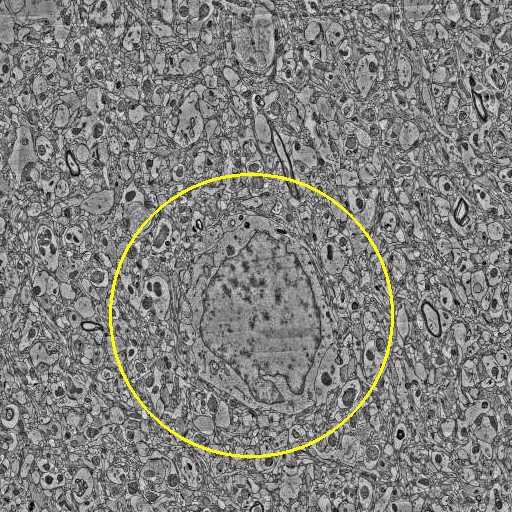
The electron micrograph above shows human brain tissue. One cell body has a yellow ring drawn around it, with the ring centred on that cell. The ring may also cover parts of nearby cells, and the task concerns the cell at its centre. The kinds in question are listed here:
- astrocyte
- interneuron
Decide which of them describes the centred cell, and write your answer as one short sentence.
The centred cell is an interneuron.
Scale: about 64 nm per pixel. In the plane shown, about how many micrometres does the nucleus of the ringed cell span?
Approximately 11 x 8 micrometres in this plane.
